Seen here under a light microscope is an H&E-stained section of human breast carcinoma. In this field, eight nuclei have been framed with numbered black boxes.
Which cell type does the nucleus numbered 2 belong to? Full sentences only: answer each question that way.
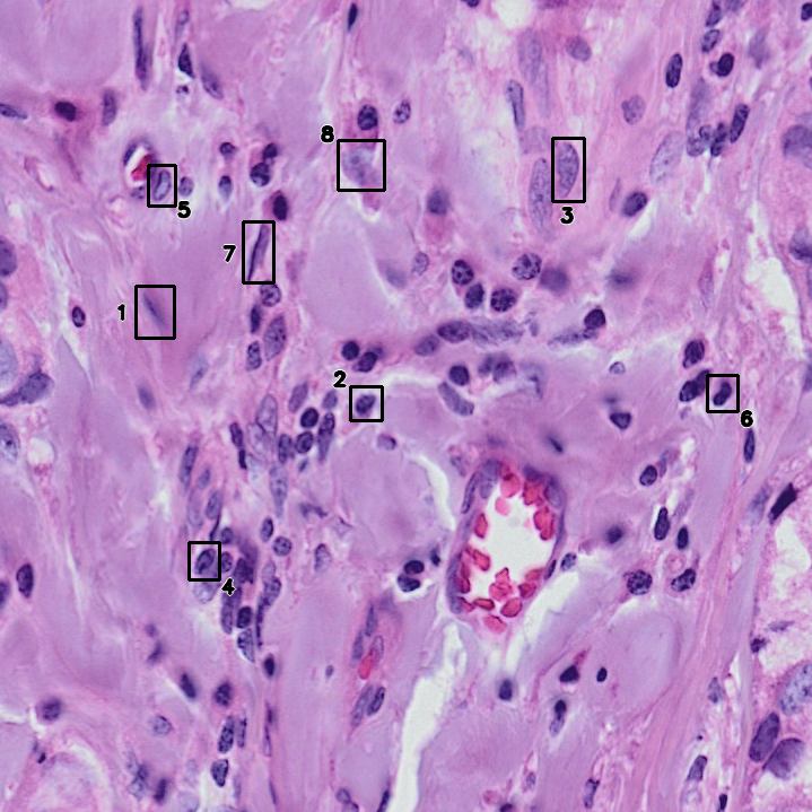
The cell that goes by number 2 is a lymphocyte.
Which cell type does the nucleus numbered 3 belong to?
The one labeled 3 is an endothelial cell, to put it simply.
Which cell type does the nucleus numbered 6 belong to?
The cell that goes by number 6 is a lymphocyte.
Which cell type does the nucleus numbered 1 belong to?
The cell referenced by the number 1 is a fibroblast in this field.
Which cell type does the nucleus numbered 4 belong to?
The cell referred to as 4 is a lymphocyte.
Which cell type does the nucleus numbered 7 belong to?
The cell indicated with the number 7 is classed as a fibroblast.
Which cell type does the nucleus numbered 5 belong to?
Of the numbered cells, the one labelled 5 is an endothelial cell.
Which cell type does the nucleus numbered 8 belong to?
The cell assigned the number 8 is a fibroblast.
